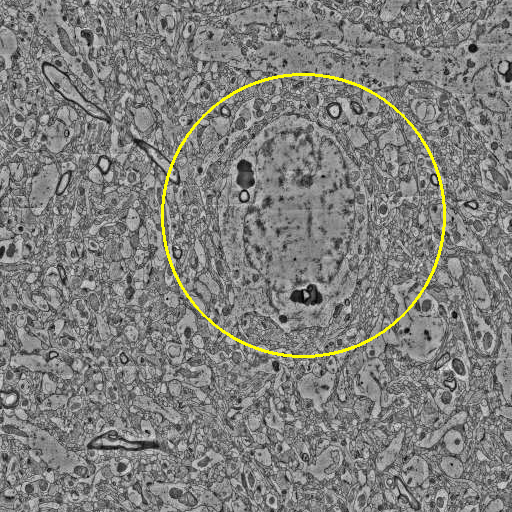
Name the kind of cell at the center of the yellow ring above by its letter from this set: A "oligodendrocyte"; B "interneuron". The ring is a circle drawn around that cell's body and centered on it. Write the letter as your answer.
B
